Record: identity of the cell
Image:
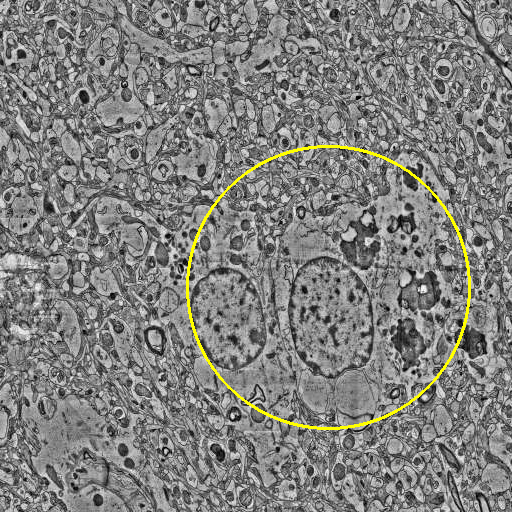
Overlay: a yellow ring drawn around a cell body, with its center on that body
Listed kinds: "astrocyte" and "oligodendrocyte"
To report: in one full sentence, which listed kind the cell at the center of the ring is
In the image, the cell body at the ring's center belongs to an astrocyte.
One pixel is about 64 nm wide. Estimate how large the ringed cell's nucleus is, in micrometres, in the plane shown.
About 8 by 5 micrometers, in this plane.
